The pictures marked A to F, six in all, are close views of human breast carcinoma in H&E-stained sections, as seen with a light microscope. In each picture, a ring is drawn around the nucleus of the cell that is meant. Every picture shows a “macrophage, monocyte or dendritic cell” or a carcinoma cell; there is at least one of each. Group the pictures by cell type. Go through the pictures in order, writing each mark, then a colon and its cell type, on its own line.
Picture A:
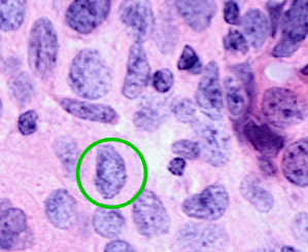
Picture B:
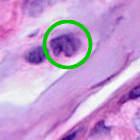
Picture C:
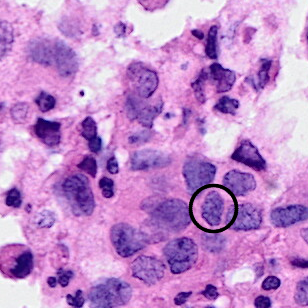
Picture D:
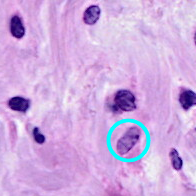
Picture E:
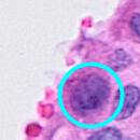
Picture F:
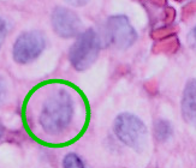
A: carcinoma cell
B: macrophage, monocyte or dendritic cell
C: carcinoma cell
D: macrophage, monocyte or dendritic cell
E: carcinoma cell
F: carcinoma cell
